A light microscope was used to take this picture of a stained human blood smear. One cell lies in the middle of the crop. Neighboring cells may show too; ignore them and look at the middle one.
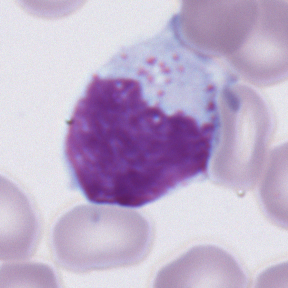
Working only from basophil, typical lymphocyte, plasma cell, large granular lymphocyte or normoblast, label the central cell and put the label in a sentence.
The cell marked by its central position in the crop is a large granular lymphocyte.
